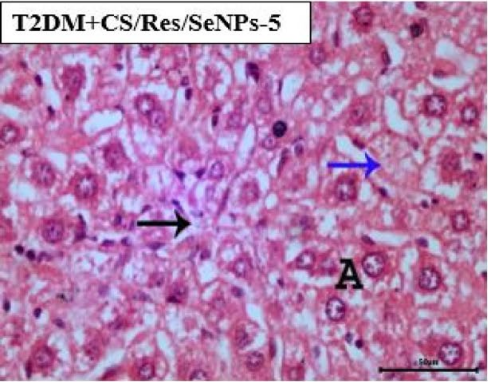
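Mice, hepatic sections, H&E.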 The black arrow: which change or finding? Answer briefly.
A: infiltration of mononuclear inflammatory cells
